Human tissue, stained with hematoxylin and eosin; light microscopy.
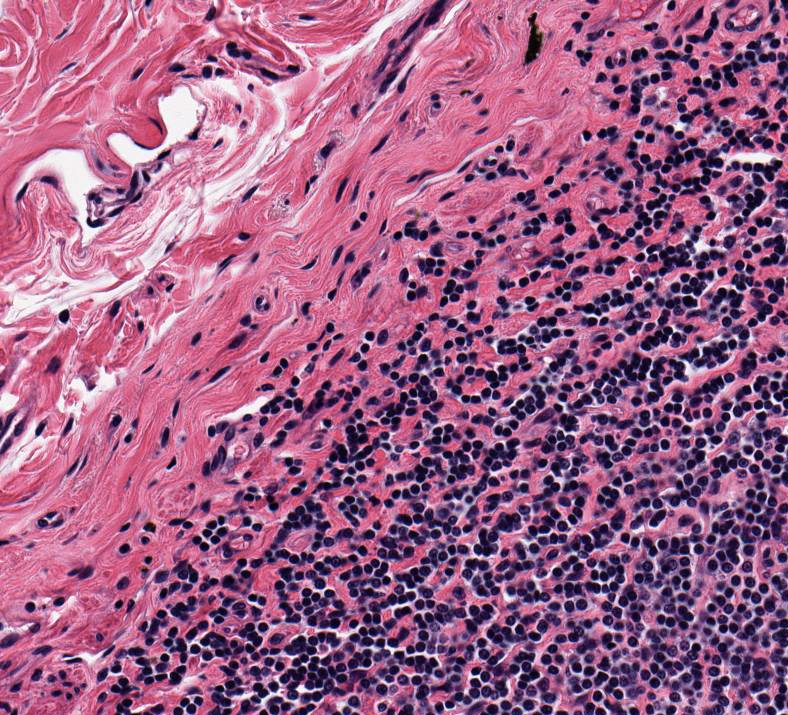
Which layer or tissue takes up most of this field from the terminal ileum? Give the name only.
lymphoid tissue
